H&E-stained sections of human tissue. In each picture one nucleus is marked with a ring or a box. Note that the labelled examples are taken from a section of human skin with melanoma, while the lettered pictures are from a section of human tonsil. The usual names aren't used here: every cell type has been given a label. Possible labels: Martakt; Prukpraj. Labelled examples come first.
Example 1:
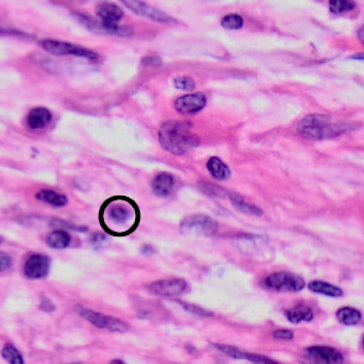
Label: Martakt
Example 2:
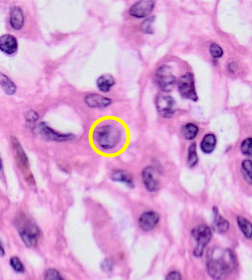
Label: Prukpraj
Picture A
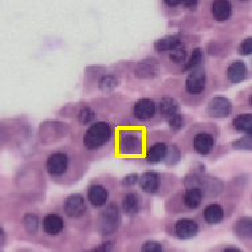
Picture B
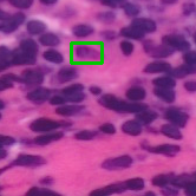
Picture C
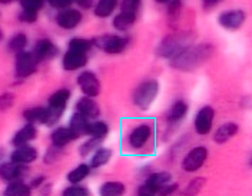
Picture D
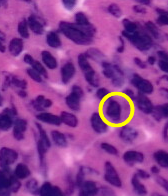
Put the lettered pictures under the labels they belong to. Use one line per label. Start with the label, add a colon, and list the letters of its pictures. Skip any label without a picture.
Martakt: A, C, D
Prukpraj: B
